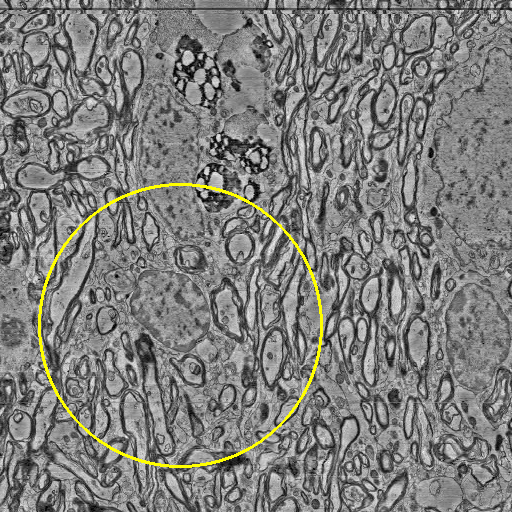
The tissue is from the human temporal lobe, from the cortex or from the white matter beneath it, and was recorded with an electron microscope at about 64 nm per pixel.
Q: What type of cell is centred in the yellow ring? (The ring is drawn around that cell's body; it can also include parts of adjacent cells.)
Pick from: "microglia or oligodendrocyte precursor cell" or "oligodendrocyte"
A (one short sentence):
The yellow ring is centred on a microglial cell or oligodendrocyte precursor cell.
